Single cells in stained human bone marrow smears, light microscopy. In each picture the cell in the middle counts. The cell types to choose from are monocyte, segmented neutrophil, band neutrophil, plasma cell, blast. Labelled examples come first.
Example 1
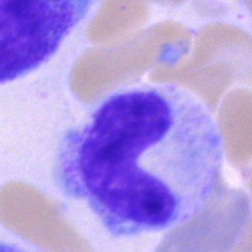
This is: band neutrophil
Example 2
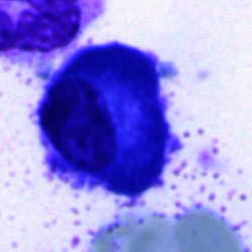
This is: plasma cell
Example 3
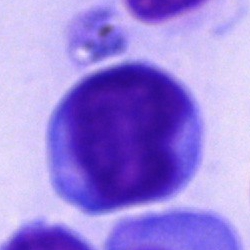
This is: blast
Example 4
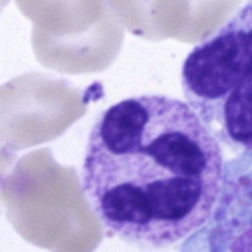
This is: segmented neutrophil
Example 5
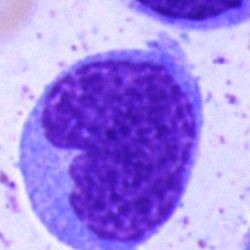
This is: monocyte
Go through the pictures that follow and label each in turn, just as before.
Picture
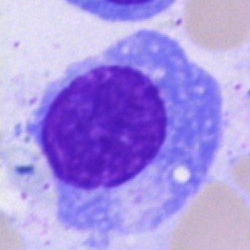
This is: plasma cell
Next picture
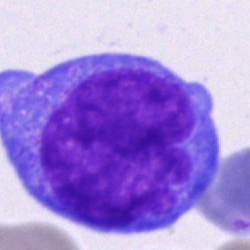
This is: blast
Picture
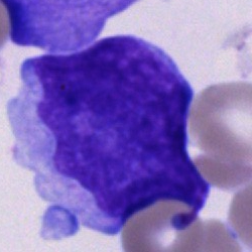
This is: blast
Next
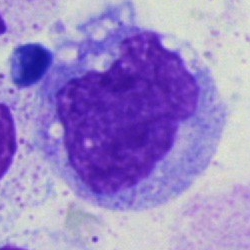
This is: monocyte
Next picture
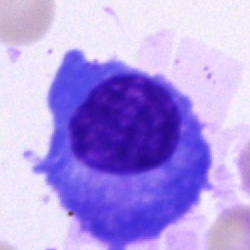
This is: plasma cell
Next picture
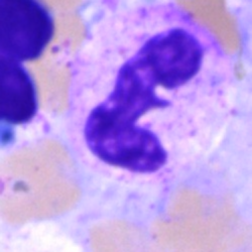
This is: segmented neutrophil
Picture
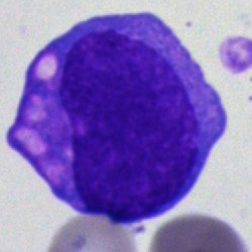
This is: blast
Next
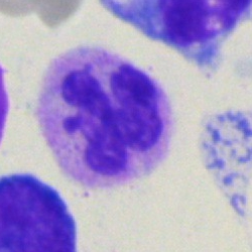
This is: segmented neutrophil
